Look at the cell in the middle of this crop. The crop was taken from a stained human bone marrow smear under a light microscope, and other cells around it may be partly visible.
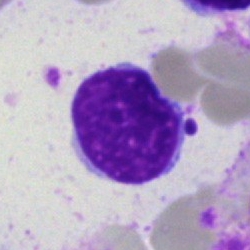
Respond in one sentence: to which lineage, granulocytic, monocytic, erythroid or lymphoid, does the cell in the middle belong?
The middle cell of the crop arises from the lymphoid lineage.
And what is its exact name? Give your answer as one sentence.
By type, the central cell of the crop is a lymphocyte.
